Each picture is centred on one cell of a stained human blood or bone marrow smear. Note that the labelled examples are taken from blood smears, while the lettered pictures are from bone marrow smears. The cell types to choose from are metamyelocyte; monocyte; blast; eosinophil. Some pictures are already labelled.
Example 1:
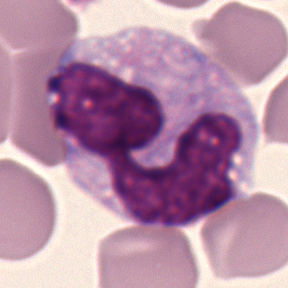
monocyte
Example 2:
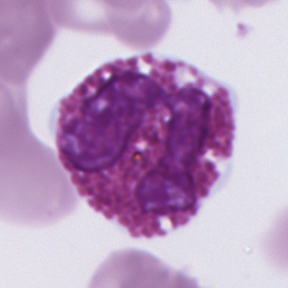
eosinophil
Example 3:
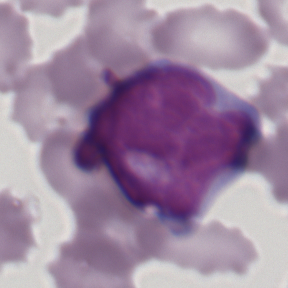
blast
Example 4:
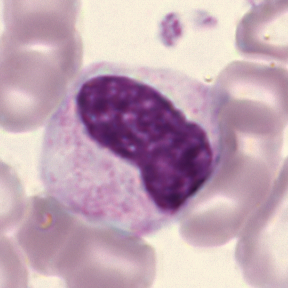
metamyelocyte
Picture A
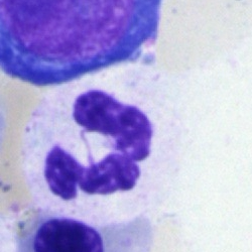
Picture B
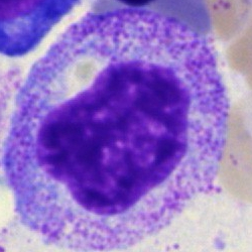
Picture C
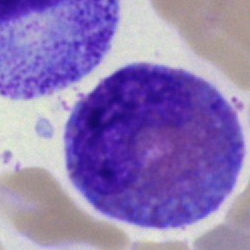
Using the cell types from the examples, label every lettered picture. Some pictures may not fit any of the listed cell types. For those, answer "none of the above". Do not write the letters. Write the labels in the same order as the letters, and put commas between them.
none of the above, metamyelocyte, eosinophil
